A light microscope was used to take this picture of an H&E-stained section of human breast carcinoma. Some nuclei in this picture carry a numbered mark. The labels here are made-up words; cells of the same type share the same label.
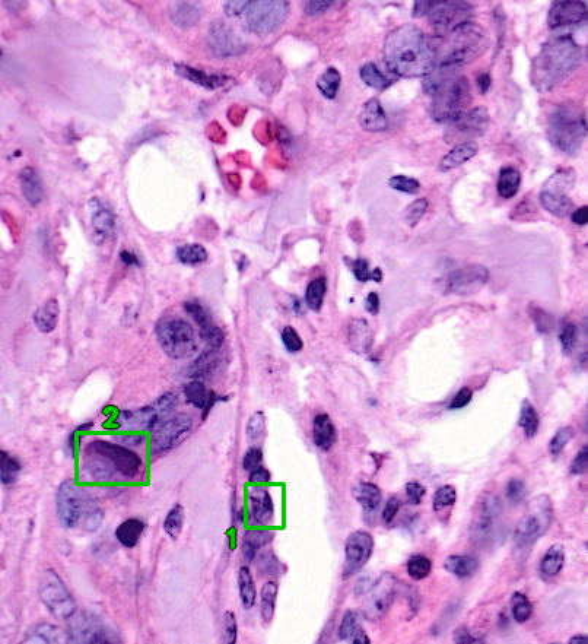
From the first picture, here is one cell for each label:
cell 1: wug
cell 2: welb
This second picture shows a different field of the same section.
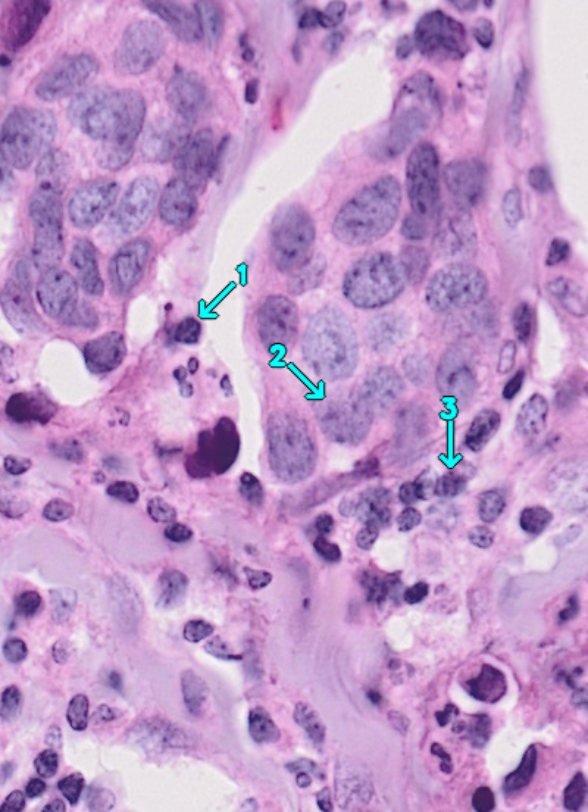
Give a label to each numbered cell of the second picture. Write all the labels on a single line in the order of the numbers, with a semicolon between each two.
wug; welb; wug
